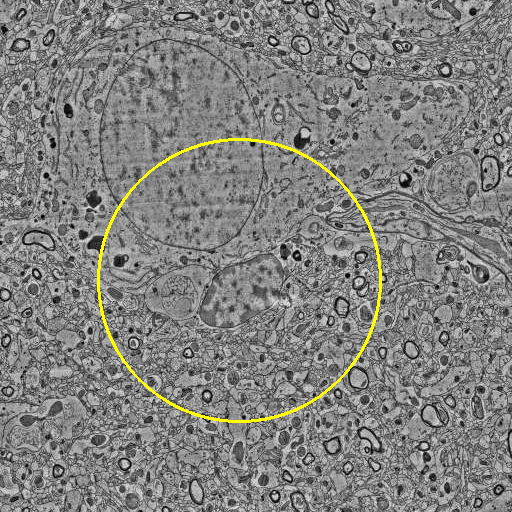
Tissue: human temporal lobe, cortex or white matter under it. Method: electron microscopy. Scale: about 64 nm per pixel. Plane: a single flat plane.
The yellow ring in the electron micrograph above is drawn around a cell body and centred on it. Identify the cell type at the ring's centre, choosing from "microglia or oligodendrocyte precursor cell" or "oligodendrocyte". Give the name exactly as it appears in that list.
microglia or oligodendrocyte precursor cell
